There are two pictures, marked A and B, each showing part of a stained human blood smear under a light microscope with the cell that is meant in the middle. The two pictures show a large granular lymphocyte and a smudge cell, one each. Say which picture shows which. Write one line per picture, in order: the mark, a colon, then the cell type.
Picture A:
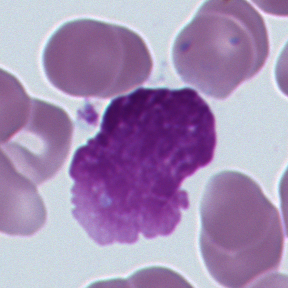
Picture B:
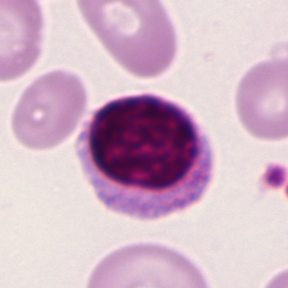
A: smudge cell
B: large granular lymphocyte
